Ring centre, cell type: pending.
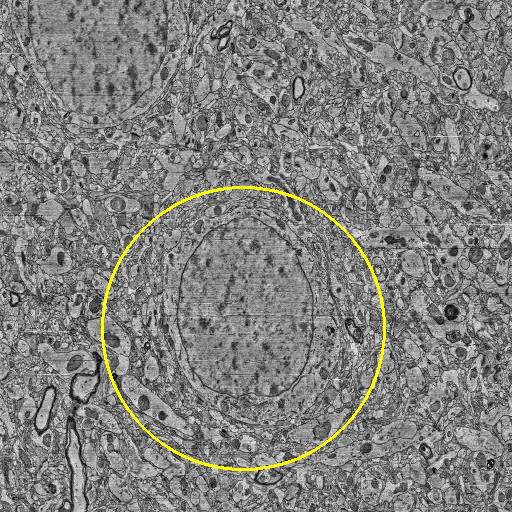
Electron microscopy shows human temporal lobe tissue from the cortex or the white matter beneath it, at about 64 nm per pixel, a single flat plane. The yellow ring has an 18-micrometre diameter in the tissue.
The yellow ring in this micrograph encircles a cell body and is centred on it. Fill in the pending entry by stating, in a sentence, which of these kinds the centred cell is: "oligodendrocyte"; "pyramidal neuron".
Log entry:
The centred cell is recorded as a pyramidal neuron.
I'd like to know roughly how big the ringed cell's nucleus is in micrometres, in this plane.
The nucleus has a long axis of about 12 micrometres and a short axis of about 9 micrometres in this plane.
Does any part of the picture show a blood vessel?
No, no blood vessel shows in the picture.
